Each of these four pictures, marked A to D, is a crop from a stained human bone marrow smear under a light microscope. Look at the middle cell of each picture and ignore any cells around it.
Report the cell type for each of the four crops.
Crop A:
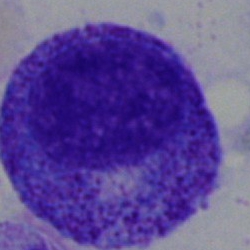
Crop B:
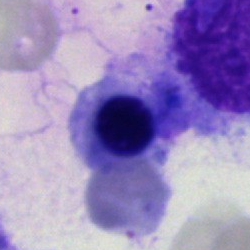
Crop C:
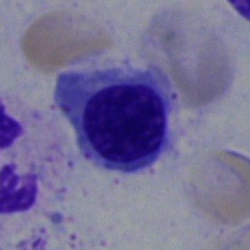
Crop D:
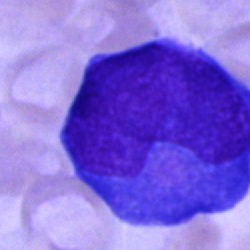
A: promyelocyte
B: erythroblast
C: erythroblast
D: blast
